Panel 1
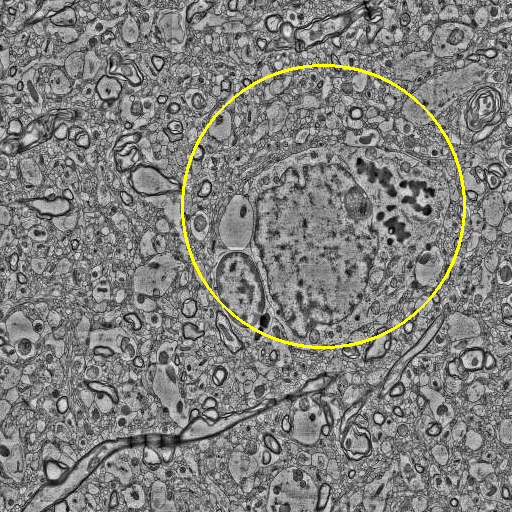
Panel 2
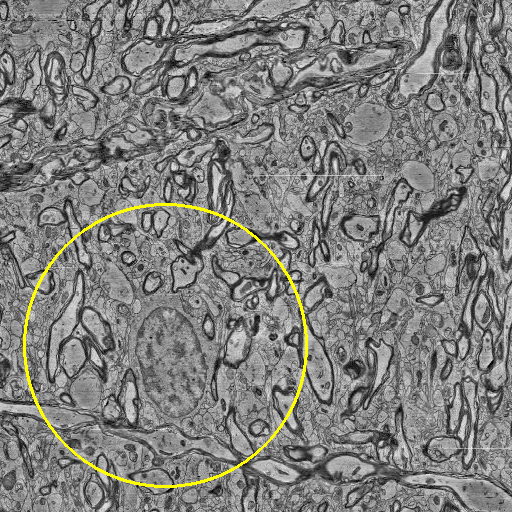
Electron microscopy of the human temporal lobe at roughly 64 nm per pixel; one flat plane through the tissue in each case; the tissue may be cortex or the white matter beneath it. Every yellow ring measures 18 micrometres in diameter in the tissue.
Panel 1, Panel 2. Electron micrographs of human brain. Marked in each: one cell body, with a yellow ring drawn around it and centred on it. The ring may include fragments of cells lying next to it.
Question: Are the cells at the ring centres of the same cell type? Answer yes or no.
no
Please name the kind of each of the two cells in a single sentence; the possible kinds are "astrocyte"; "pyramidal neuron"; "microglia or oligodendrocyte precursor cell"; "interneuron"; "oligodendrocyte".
In the first picture the ring is centred on an interneuron, and in the second on an oligodendrocyte.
